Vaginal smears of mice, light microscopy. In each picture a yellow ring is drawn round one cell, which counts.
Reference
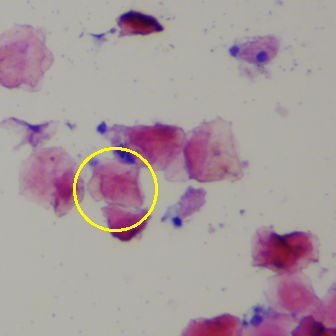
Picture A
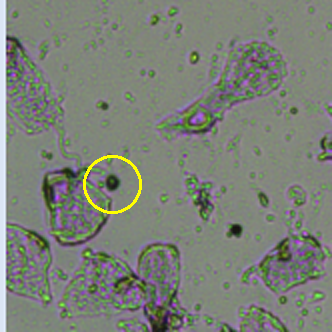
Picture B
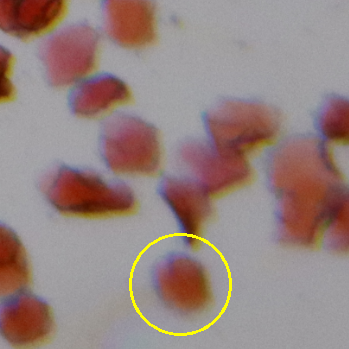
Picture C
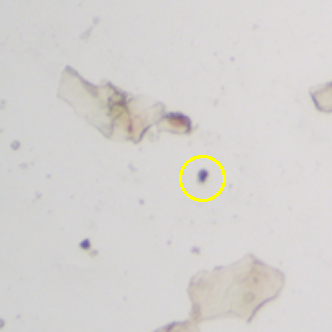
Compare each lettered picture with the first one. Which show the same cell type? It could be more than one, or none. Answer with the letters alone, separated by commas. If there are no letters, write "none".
B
